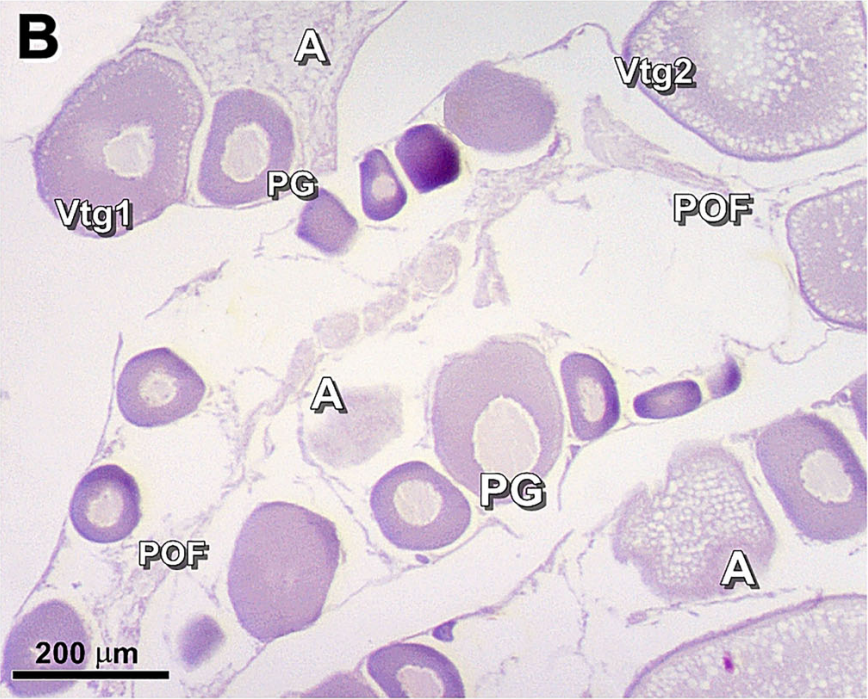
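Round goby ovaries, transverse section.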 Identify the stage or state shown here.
Regressing phase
